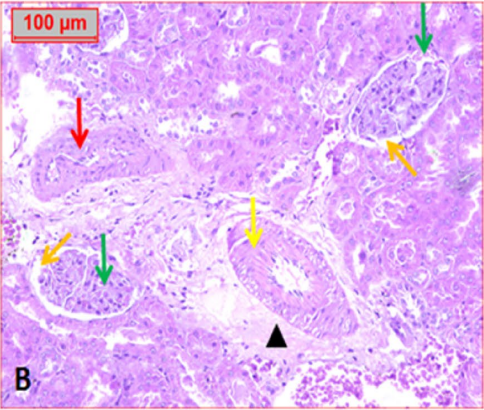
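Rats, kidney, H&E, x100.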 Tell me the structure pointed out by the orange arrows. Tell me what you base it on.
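The arrows point to the clear gap between a glomerular tuft and its surrounding capsule. The gap is wide and empty-looking. That points to this answer: Boman’s space.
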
